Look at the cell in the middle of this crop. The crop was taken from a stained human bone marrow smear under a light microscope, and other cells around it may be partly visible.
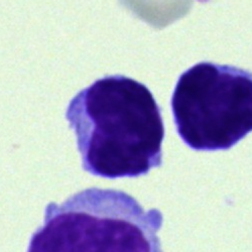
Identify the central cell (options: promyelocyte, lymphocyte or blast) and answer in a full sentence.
What sits at the centre of this crop is a lymphocyte.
